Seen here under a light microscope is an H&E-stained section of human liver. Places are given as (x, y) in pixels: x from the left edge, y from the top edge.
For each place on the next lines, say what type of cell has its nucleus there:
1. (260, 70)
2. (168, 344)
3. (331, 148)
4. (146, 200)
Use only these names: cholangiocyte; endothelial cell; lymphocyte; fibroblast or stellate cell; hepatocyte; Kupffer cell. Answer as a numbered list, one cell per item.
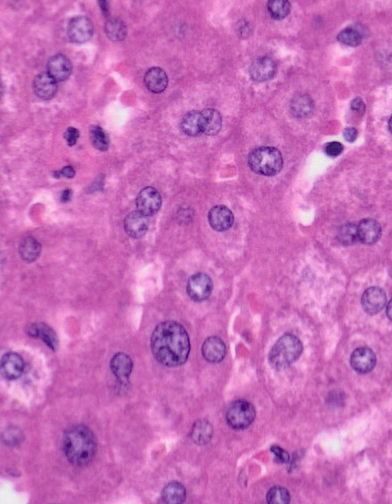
1. hepatocyte
2. hepatocyte
3. lymphocyte
4. hepatocyte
